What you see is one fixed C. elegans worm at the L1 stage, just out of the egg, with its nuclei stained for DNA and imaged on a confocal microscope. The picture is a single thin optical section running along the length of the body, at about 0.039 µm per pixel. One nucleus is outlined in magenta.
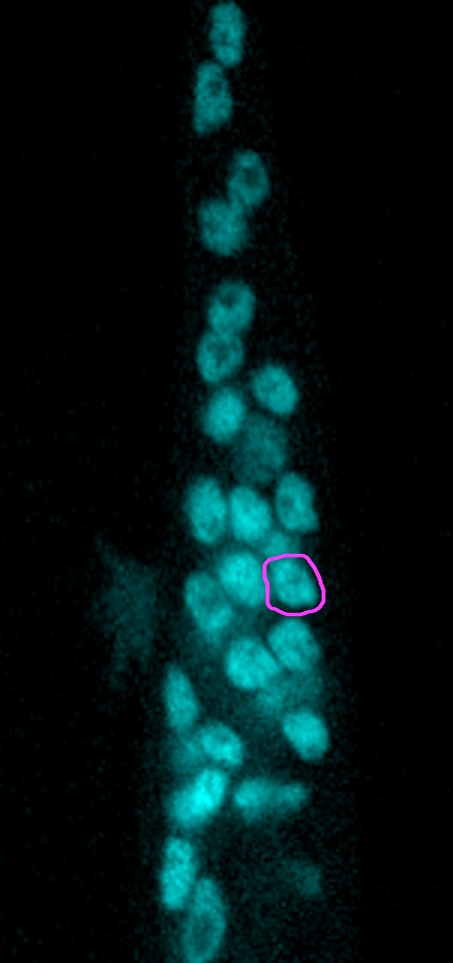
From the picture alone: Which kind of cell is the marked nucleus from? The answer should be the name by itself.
enteric muscle cell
